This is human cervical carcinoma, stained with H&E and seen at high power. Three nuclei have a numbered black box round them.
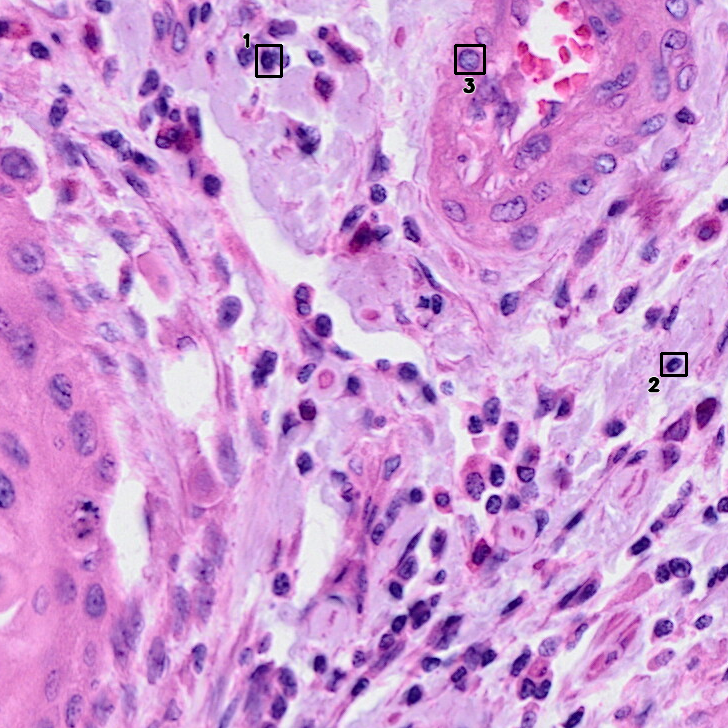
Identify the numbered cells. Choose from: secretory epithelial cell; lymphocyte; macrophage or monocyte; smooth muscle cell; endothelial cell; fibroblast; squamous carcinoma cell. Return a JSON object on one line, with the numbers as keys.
{"1": "lymphocyte", "2": "lymphocyte", "3": "smooth muscle cell"}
